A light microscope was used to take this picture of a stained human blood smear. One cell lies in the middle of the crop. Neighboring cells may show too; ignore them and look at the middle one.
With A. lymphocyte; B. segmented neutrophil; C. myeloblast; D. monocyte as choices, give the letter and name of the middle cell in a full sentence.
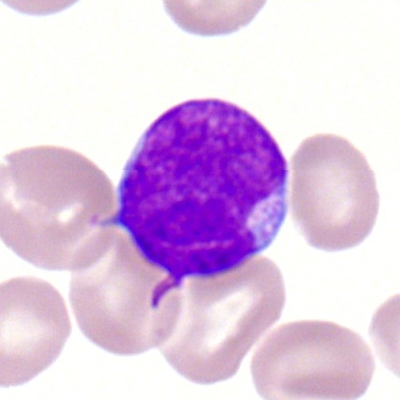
The correct option is C, as the central cell is a myeloblast.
